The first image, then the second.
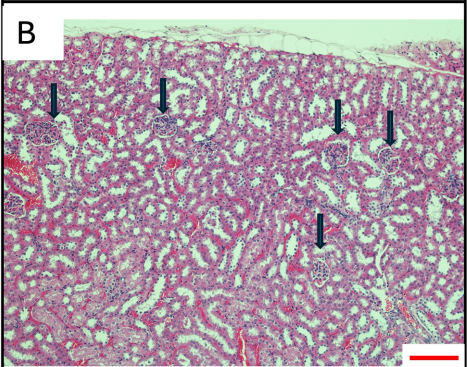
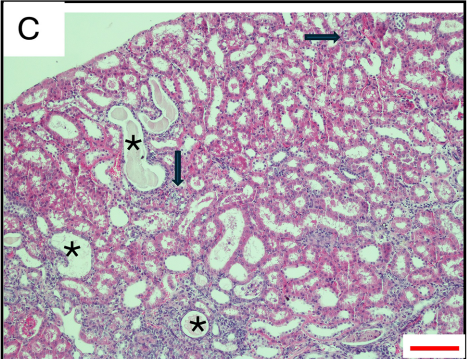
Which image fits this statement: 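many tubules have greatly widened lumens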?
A: The second image.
